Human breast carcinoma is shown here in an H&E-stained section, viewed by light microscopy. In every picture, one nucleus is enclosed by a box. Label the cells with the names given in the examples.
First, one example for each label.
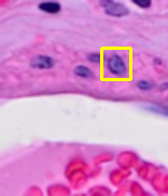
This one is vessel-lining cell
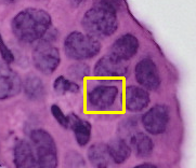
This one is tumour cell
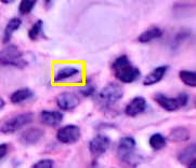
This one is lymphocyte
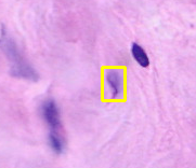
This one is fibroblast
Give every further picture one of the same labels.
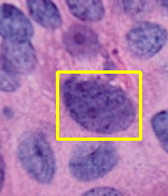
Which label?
tumour cell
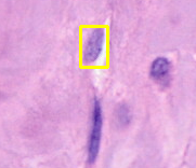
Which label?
fibroblast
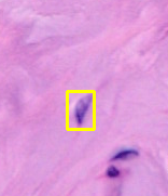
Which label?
fibroblast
